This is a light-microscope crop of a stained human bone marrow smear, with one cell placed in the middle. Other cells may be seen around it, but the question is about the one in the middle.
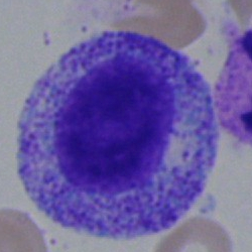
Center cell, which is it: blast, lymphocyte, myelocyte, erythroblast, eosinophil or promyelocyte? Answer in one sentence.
The cell at the central position in this crop is a myelocyte.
